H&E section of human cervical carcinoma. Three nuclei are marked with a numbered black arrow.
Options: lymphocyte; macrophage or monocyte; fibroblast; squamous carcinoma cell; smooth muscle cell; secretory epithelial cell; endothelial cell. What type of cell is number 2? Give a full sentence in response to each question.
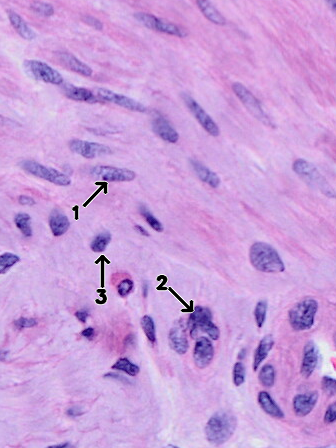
The numeral 2 marks an endothelial cell in this section.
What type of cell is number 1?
Identified as a smooth muscle cell is the cell bearing the number 1.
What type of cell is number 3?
The cell tagged with 3 in this tissue section is a fibroblast.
